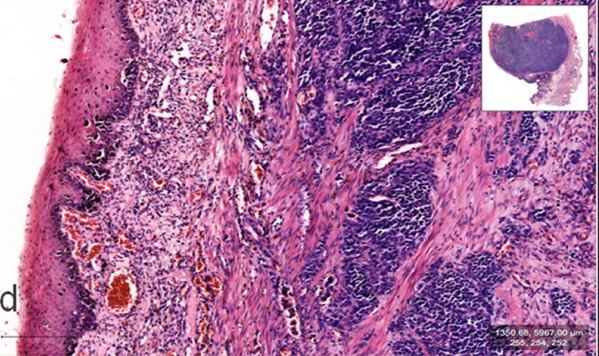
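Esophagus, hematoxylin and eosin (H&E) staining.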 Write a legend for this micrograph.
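Esophageal wall with intact stratified squamous epithelium along the left surface and a cellular tumor in the deeper tissue on the right. The epithelium is pink and layered, with small dark pigmented cells sitting along its base. Beneath it lies loose connective tissue with congested vessels packed with red blood cells, then pink fibrous and muscular strands. To the right, nests and sheets of densely packed cells with dark purple nuclei and scant cytoplasm are separated by pink stromal bands. The epithelium over the tumor is not breached.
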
